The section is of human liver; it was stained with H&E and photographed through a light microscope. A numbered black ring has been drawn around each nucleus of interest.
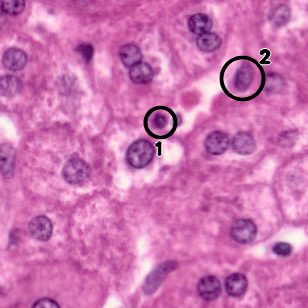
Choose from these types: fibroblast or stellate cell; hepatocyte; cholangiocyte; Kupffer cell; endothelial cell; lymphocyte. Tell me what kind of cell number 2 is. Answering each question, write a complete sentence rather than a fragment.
It is as a Kupffer cell that the cell numbered 2 is identified.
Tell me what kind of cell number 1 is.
The cell identified by the number 1 is a lymphocyte.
